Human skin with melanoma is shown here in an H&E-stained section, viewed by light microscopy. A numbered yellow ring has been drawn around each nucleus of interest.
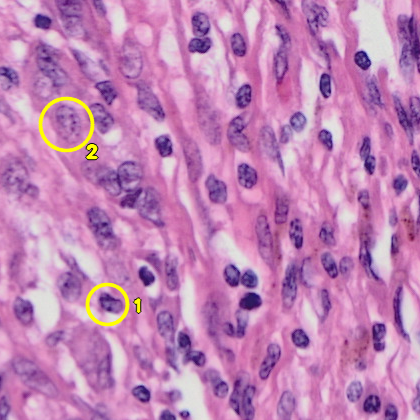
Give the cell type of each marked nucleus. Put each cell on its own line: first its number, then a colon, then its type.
1: lymphocyte
2: melanoma cell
